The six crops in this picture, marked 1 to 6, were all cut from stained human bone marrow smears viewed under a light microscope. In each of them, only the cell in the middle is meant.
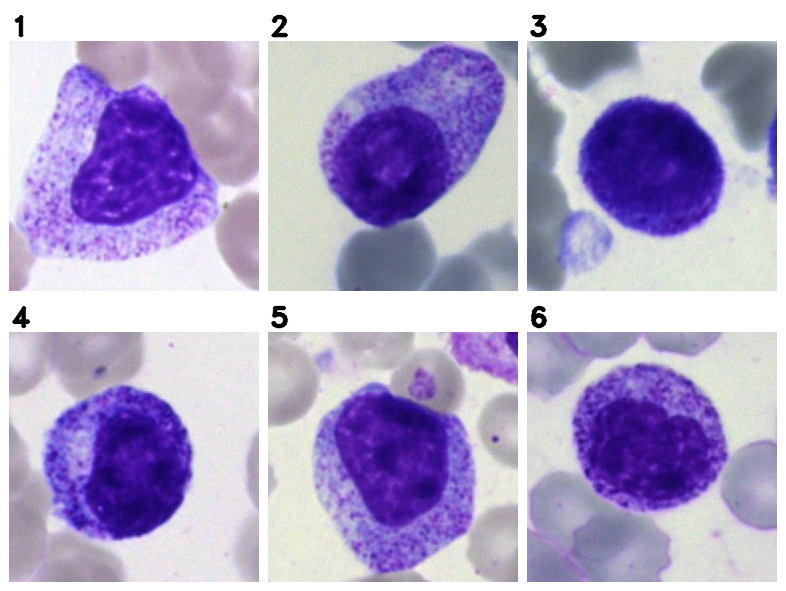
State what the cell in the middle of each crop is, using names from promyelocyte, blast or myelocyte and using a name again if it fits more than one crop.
1: myelocyte
2: promyelocyte
3: promyelocyte
4: myelocyte
5: myelocyte
6: myelocyte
